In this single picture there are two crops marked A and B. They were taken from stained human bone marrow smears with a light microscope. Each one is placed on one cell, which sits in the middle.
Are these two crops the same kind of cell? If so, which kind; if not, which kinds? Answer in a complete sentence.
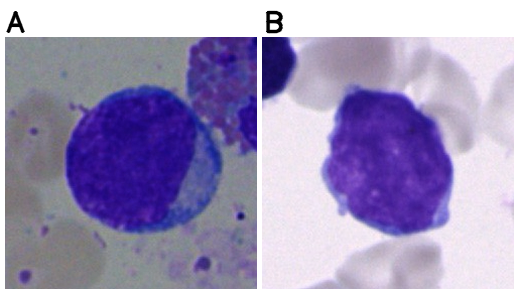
Yes, in the middle of both crops, blasts are shown.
